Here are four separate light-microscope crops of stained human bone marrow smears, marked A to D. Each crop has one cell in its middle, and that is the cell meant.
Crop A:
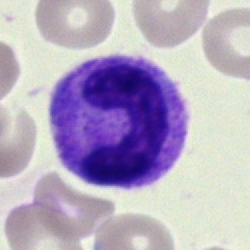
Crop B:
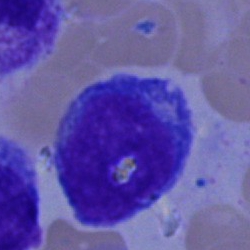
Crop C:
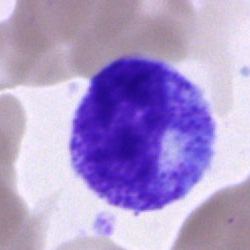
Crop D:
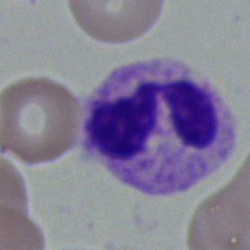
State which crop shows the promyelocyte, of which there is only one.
C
